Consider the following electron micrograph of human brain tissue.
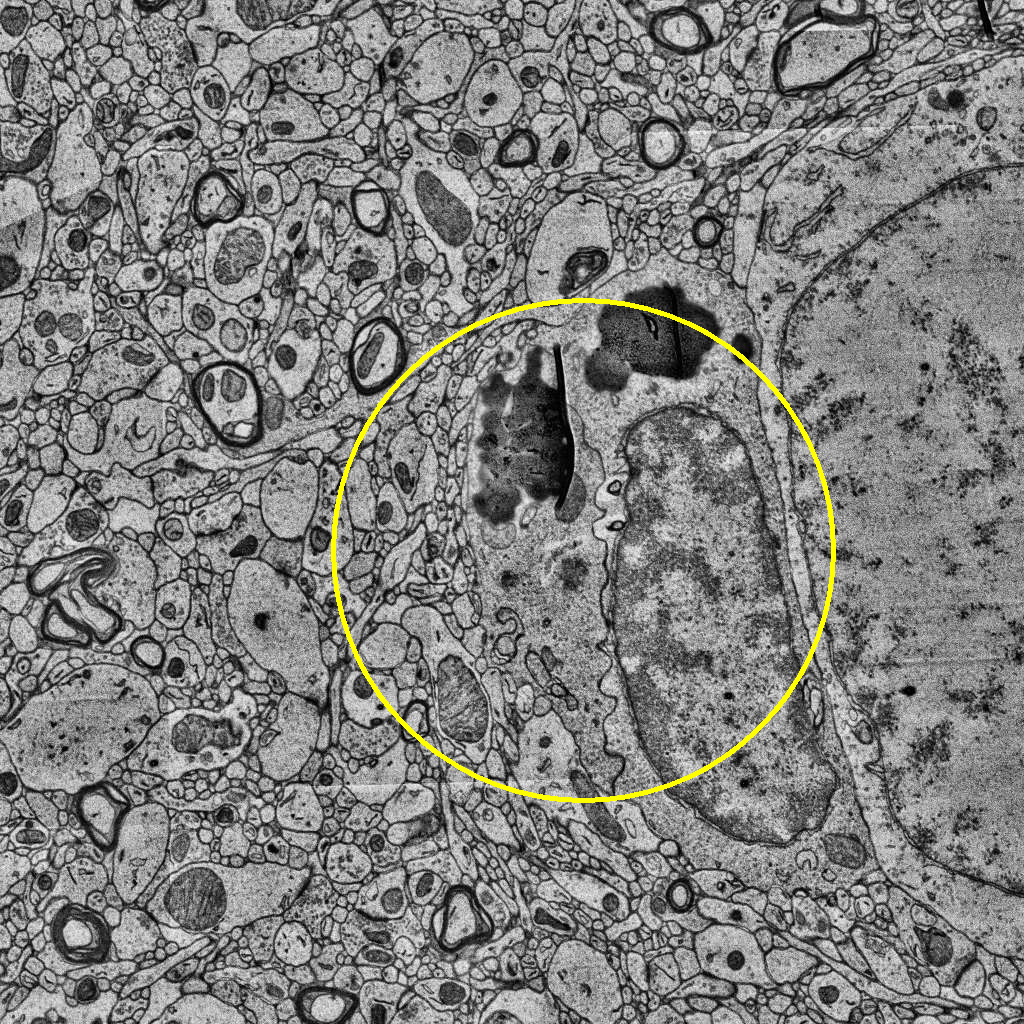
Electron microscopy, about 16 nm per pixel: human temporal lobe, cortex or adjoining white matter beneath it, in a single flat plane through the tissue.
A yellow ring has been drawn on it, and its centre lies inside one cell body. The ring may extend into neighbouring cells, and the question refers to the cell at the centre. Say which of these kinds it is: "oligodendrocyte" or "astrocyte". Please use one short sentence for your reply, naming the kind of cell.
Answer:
The centre of the ring falls on an oligodendrocyte.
